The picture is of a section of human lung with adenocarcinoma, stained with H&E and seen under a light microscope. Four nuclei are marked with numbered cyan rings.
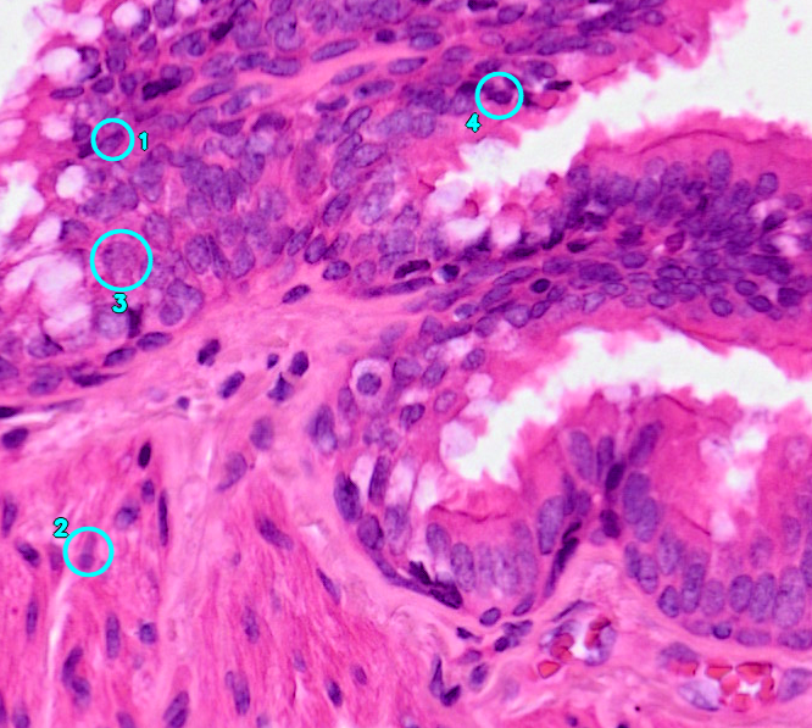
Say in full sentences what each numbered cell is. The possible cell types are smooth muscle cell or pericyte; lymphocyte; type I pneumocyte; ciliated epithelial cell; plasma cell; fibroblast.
Cells 1, 3 and 4 are ciliated epithelial cells. Cell 2 is a smooth muscle cell or pericyte.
